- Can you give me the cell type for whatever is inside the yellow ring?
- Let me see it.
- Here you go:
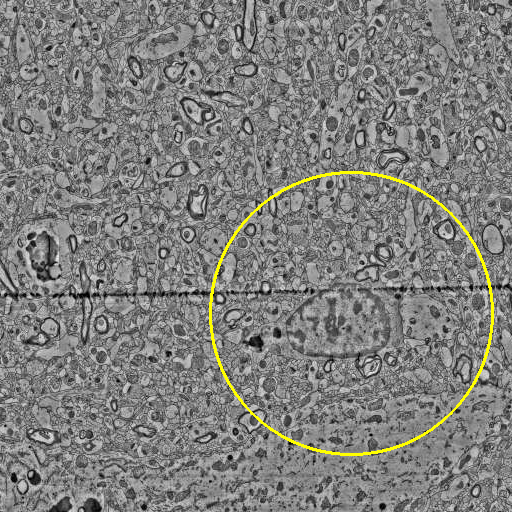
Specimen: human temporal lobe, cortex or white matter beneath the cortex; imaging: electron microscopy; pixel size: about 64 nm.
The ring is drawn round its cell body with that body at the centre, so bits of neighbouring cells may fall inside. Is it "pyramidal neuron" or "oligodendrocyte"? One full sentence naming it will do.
The cell body in the middle of the ring in this picture belongs to an oligodendrocyte.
